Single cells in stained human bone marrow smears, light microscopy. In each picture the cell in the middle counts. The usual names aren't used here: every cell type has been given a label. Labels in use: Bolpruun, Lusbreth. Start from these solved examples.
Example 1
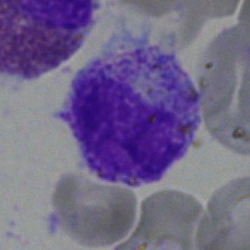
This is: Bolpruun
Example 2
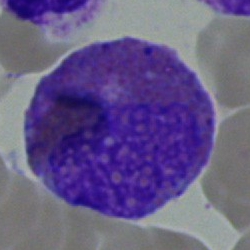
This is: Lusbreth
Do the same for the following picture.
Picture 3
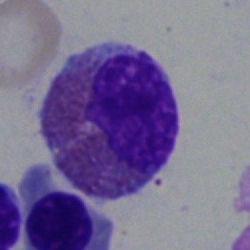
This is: Lusbreth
